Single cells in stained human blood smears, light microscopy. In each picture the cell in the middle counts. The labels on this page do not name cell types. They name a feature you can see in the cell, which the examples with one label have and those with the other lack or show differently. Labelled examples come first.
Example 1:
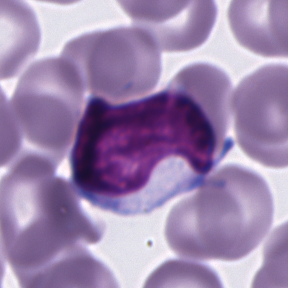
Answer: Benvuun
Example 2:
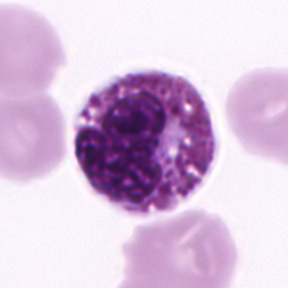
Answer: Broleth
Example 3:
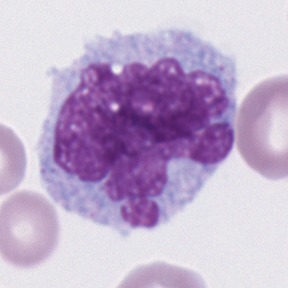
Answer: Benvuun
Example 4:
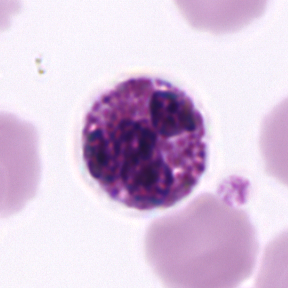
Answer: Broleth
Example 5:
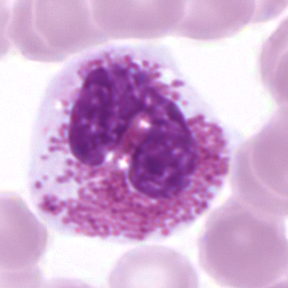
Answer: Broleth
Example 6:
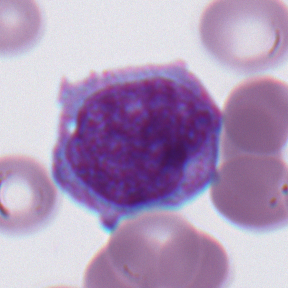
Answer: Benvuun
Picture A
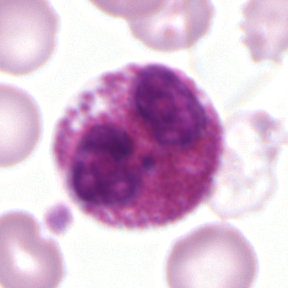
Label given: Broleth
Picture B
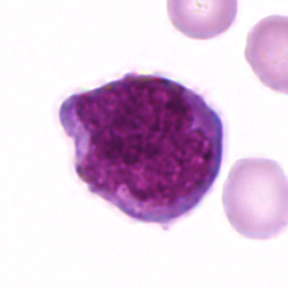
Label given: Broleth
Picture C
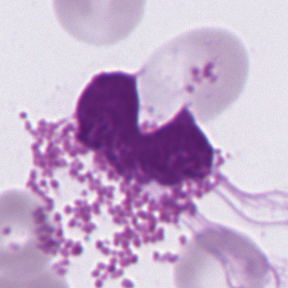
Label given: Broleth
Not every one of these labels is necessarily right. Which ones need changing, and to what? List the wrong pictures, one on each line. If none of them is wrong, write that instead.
B: change Broleth to Benvuun
C: change Broleth to Benvuun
